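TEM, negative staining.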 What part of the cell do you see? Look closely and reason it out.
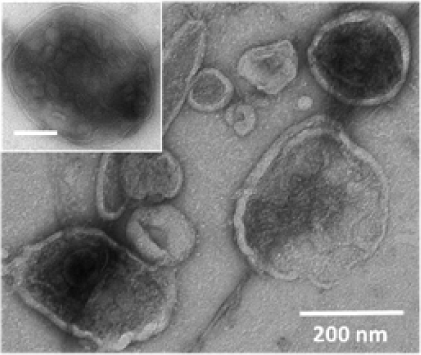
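Rounded to oval particles of differing sizes against a stained background. The particles are bounded by a distinct membranous rim. On this evidence: double-membrane mitochondria-like structures.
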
